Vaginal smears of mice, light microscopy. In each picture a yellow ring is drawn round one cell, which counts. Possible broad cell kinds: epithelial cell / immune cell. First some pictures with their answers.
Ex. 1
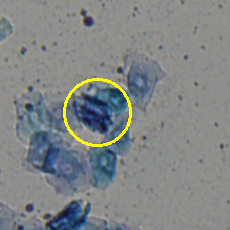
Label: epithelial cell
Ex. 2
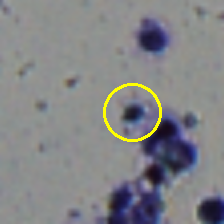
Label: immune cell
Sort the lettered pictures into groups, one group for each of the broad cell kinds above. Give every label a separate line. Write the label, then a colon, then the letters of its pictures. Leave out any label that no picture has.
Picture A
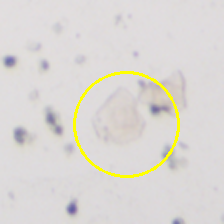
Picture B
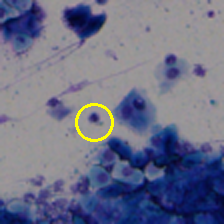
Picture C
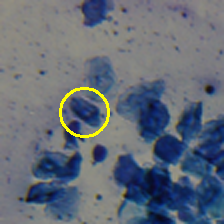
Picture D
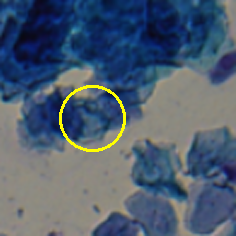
epithelial cell: A, C, D
immune cell: B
